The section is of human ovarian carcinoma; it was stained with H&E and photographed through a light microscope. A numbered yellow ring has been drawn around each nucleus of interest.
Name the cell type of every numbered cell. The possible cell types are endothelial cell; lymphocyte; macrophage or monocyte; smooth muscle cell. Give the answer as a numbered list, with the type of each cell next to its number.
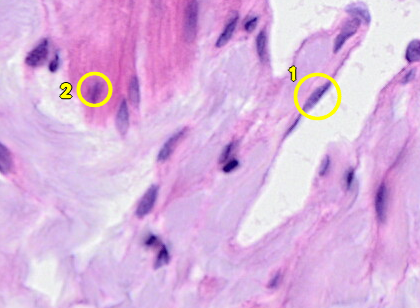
1. endothelial cell
2. smooth muscle cell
